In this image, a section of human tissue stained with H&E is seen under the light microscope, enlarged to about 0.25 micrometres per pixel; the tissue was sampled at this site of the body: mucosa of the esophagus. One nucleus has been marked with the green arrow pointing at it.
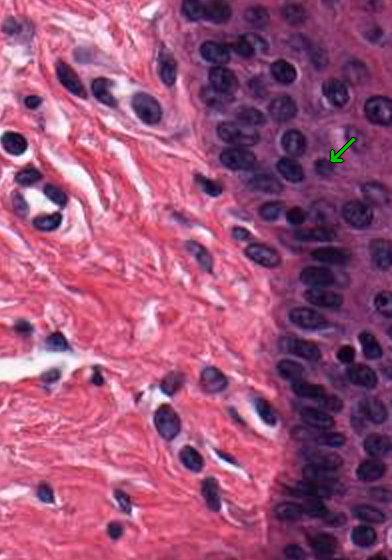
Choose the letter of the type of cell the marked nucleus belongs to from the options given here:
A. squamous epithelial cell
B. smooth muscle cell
A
